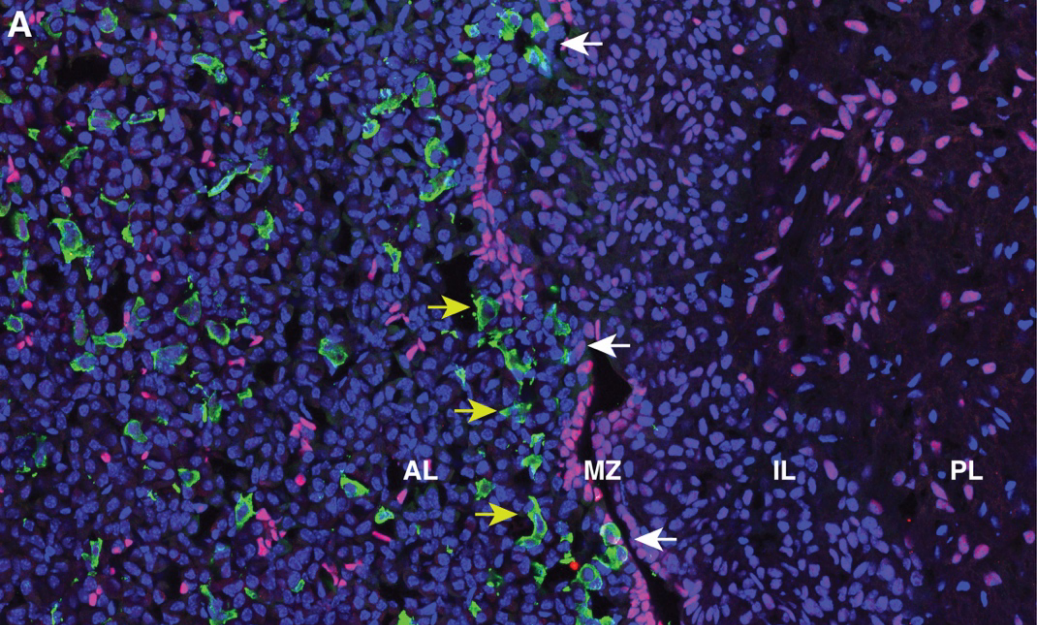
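This section of pituitary gland shows, from left to right, a densely cellular lobe, a narrow cleft lined by a thin layer of cells, and two further lobes. In the left lobe many blue nuclei are packed tightly, with scattered irregular cells whose cytoplasm is outlined in green and scattered magenta nuclei between them. Along the cleft runs a band of elongated magenta nuclei, with several green cells lying right beside it. The middle lobe to the right is uniformly packed with blue nuclei and lacks green cells, while the far right lobe is looser with scattered elongated magenta nuclei.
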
